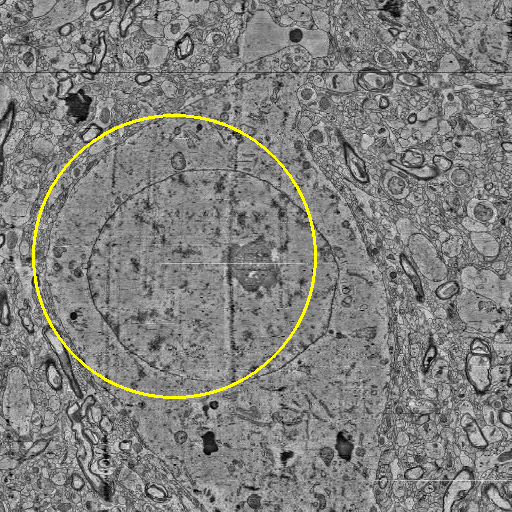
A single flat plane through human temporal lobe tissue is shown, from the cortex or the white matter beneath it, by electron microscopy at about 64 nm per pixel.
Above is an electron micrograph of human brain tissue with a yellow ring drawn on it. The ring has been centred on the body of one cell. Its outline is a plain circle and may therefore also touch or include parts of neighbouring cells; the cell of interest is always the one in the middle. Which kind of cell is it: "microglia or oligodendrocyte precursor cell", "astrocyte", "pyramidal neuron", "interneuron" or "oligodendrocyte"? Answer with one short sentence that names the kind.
The ring's central cell body is that of a pyramidal neuron.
